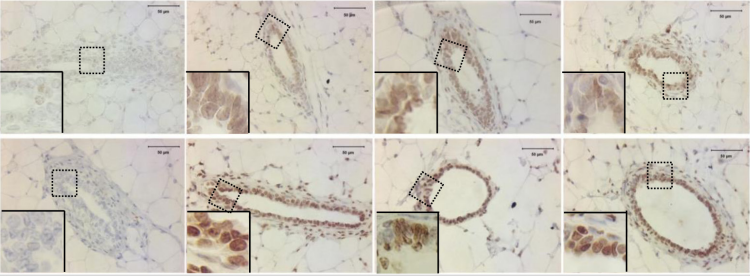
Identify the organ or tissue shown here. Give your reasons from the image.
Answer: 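Small tubular ducts lined by epithelial cells. The ducts lie within a field of large, empty, polygonal fat cells. The answer: mammary glands.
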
